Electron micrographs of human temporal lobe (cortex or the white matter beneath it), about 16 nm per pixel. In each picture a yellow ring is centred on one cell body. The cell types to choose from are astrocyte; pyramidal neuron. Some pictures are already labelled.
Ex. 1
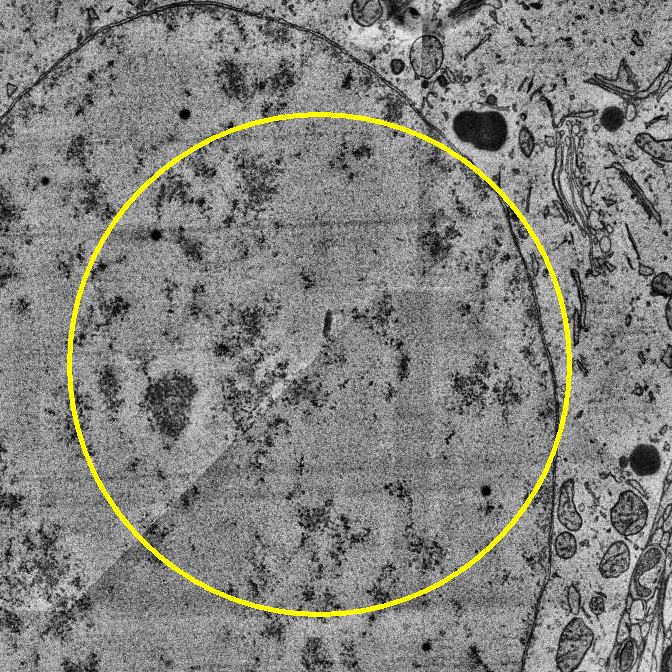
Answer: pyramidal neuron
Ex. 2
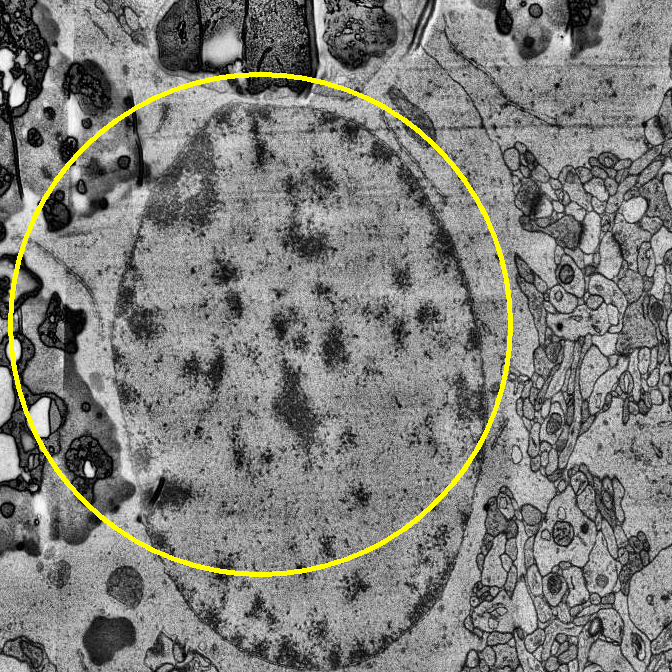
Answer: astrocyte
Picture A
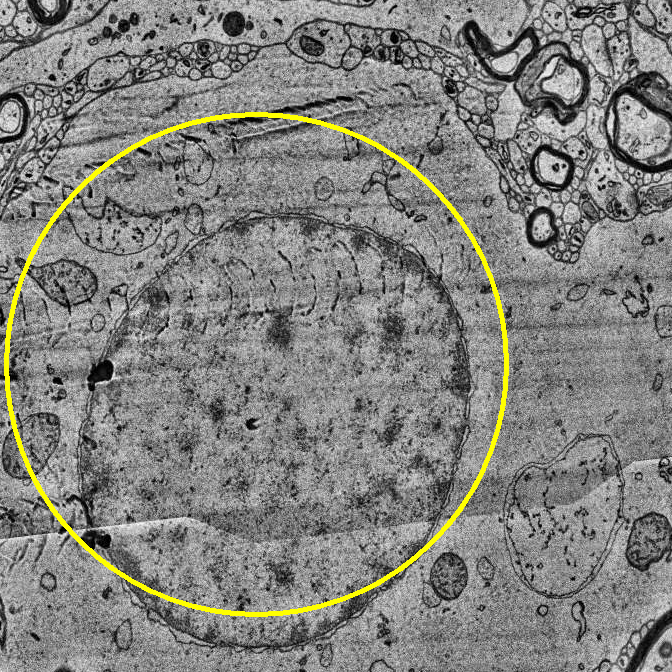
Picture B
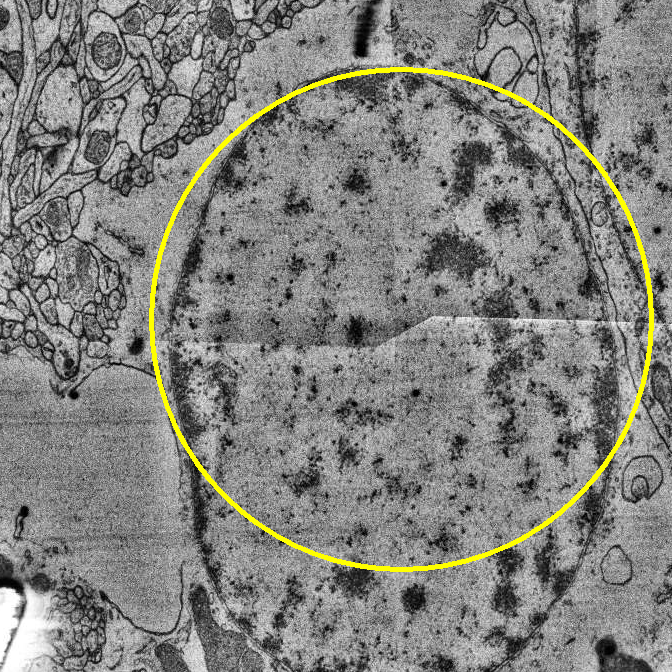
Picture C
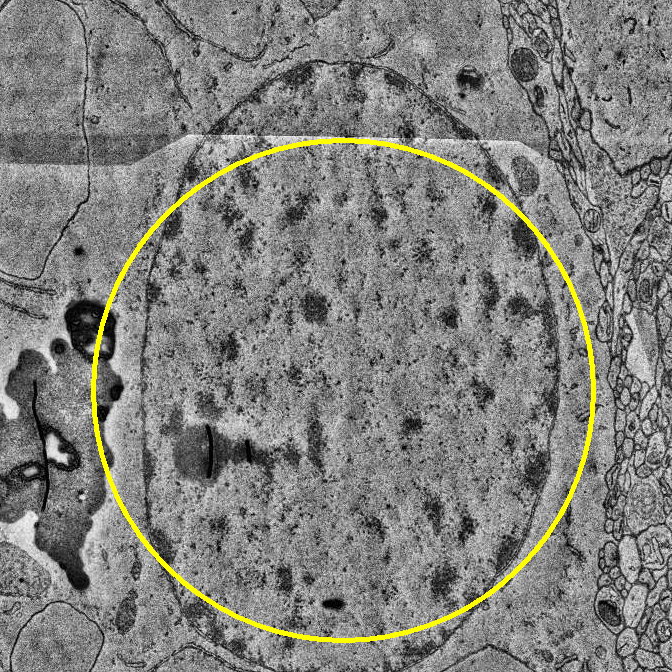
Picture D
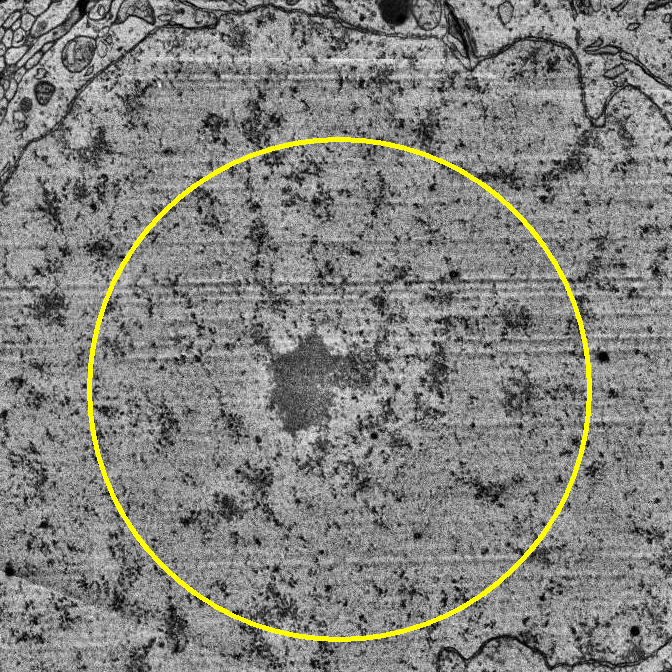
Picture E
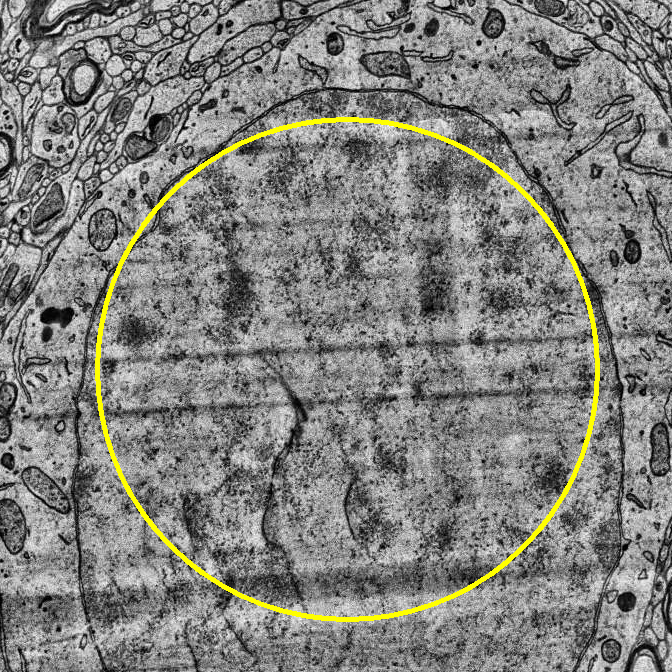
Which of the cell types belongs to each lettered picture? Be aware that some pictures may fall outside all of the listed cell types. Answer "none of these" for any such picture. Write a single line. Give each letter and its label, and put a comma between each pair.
A astrocyte, B astrocyte, C astrocyte, D pyramidal neuron, E pyramidal neuron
